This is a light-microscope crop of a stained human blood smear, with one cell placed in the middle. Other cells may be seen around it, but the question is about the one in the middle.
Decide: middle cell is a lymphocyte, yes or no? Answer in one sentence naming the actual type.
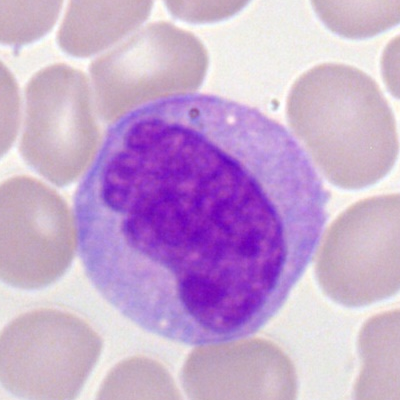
No, what sits in the centre of the crop is a monocyte rather than a lymphocyte.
